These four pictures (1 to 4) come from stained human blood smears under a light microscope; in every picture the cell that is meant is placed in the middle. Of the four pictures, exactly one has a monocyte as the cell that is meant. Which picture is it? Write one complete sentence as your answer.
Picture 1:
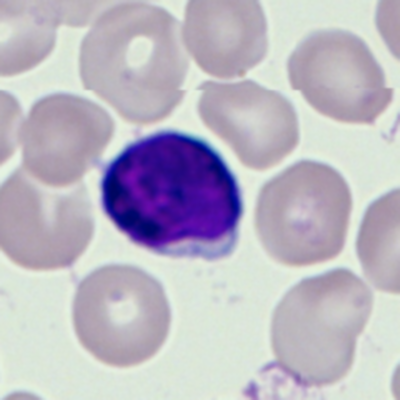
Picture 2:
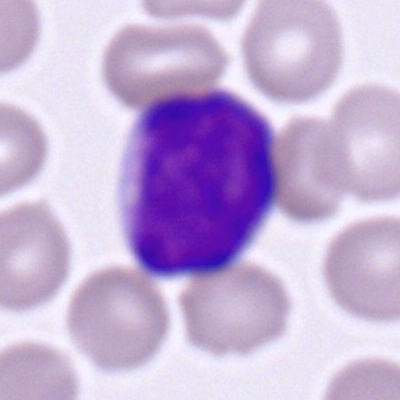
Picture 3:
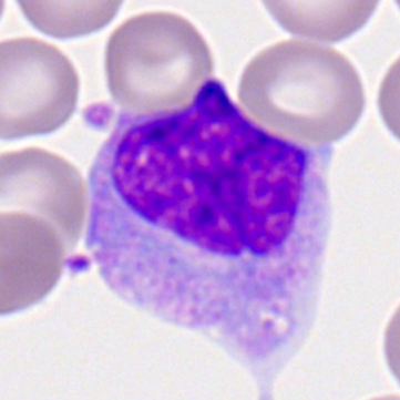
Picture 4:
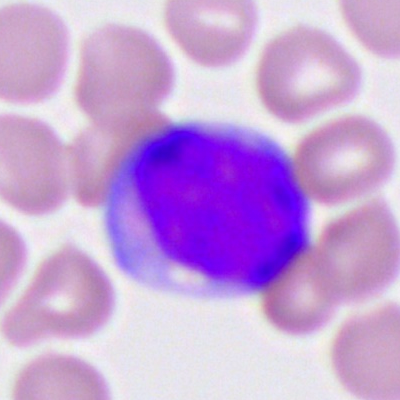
Picture 3 shows the monocyte.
